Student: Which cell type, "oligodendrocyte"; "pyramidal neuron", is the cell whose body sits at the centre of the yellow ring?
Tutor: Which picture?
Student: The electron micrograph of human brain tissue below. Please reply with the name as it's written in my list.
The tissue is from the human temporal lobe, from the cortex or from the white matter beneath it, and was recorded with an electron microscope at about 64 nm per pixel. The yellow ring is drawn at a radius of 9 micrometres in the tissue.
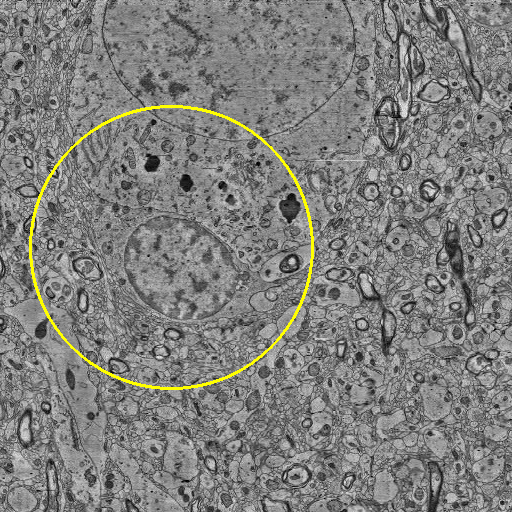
oligodendrocyte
